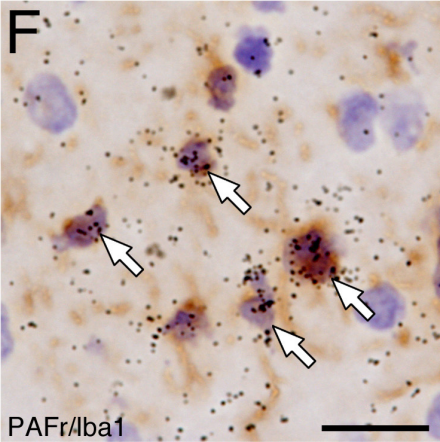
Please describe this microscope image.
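Among purple-stained nuclei lie several small cells with brown cytoplasm, elongated or irregular nuclei and thin brown processes, and over them black silver grains gather in clusters. These small, process-bearing cells carrying both the brown stain and the grain clusters are microglia, while other nuclei show only scattered grains.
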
